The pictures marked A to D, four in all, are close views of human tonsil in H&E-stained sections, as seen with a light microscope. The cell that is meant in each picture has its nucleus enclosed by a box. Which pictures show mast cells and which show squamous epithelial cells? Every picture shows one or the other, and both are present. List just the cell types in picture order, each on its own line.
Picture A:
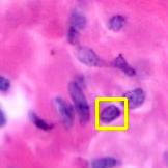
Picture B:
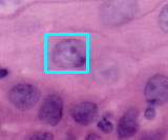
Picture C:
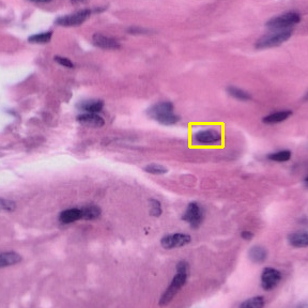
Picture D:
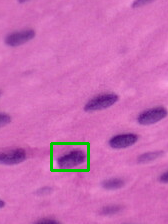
mast cell
squamous epithelial cell
mast cell
squamous epithelial cell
